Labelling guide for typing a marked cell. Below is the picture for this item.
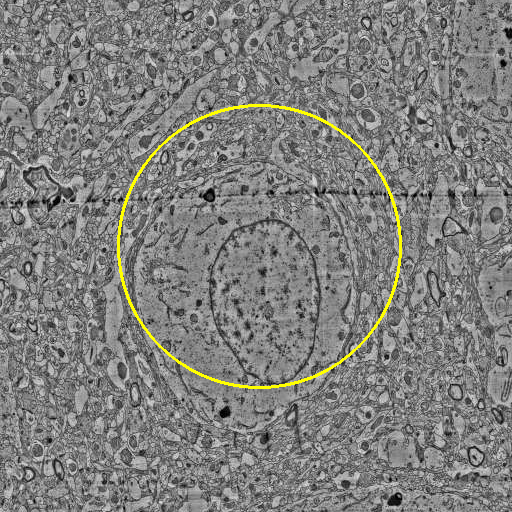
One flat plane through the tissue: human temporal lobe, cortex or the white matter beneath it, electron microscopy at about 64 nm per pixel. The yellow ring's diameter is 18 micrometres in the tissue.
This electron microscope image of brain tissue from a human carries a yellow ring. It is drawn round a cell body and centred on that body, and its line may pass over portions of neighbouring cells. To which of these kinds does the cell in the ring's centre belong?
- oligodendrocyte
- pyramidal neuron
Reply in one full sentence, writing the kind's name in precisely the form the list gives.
Here we have a pyramidal neuron at the centre of the yellow ring in the picture.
